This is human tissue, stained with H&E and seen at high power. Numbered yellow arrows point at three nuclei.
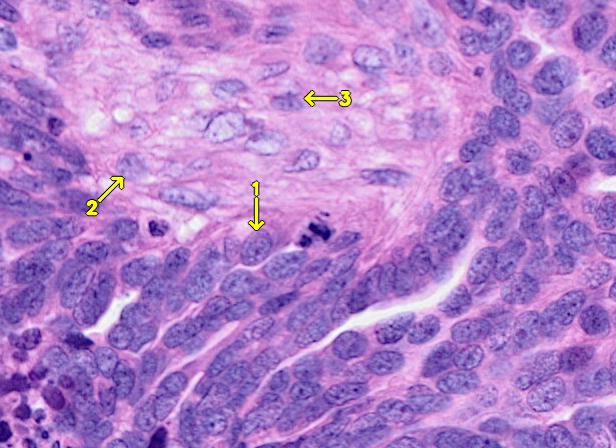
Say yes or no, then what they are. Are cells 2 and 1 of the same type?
No, the cell labelled 2 is a fibroblast; the cell labelled 1 is a carcinoma cell.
